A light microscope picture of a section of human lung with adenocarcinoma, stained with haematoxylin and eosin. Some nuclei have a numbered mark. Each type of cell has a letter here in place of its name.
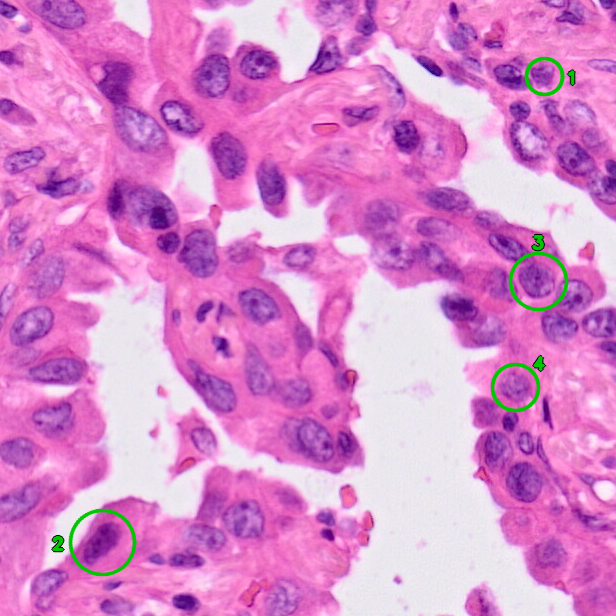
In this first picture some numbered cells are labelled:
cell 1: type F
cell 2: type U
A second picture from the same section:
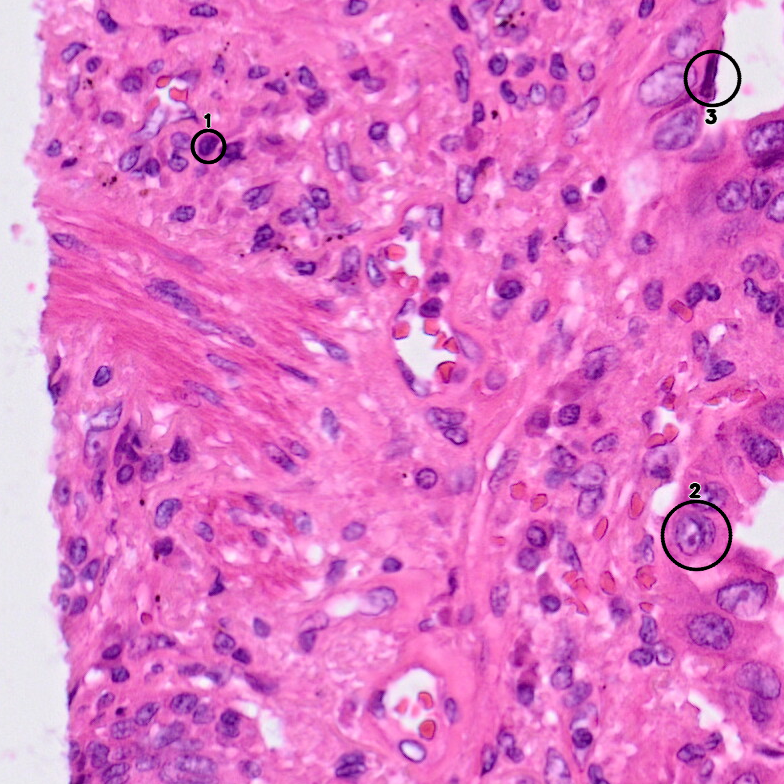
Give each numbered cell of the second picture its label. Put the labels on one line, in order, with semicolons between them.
type F; type U; type U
